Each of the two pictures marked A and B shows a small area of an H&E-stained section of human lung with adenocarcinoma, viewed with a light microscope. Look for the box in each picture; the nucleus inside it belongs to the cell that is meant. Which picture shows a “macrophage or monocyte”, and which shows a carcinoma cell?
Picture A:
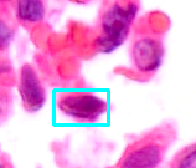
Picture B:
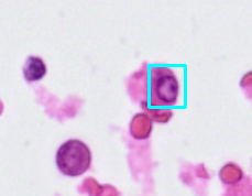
A: carcinoma cell
B: macrophage or monocyte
